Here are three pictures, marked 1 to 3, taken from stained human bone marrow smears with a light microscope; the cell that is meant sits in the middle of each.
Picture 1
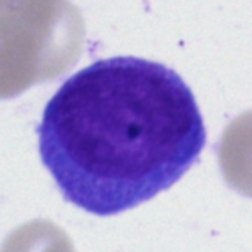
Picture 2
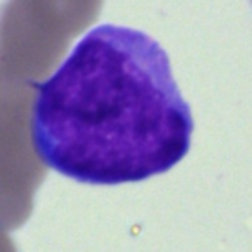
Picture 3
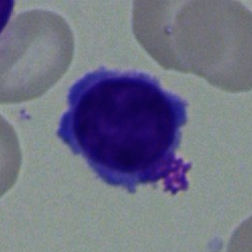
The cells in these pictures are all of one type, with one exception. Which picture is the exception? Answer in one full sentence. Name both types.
Unlike the rest, which show blasts, picture 3 shows a lymphocyte.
